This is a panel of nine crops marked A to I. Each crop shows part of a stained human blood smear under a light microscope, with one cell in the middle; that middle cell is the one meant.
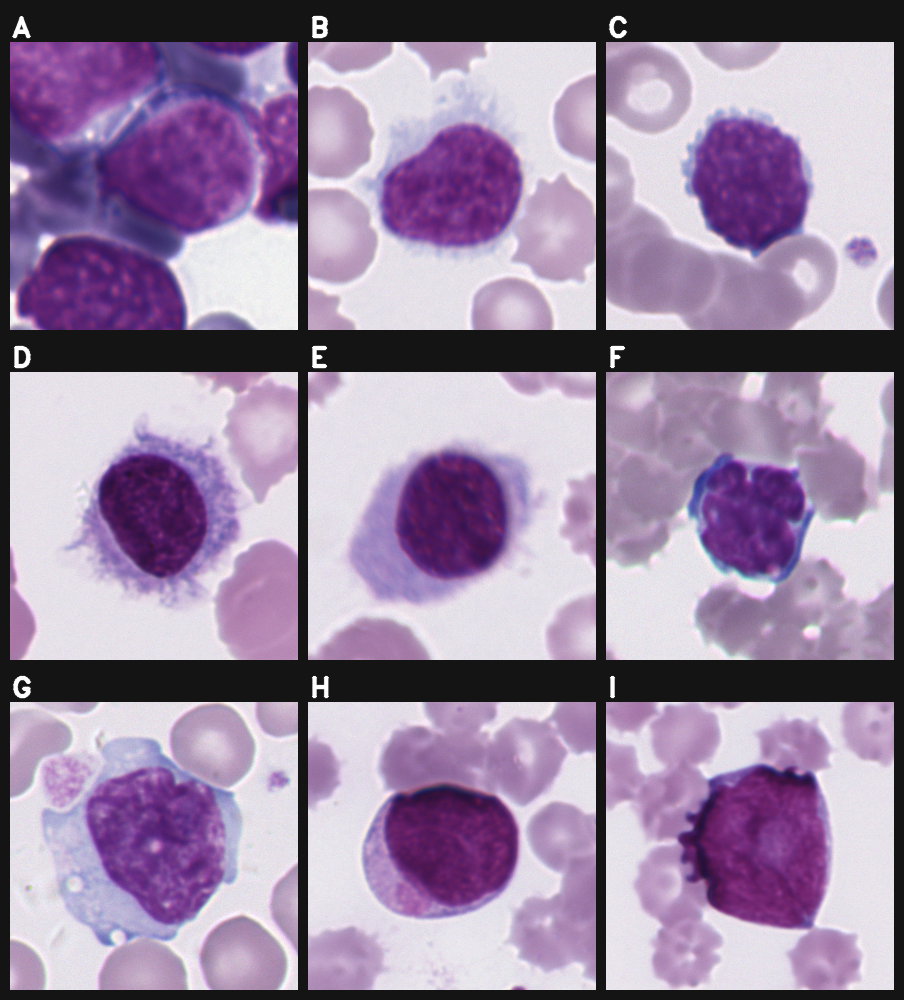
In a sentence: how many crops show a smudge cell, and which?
The absence of smudge cells from all crops means the count is zero.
